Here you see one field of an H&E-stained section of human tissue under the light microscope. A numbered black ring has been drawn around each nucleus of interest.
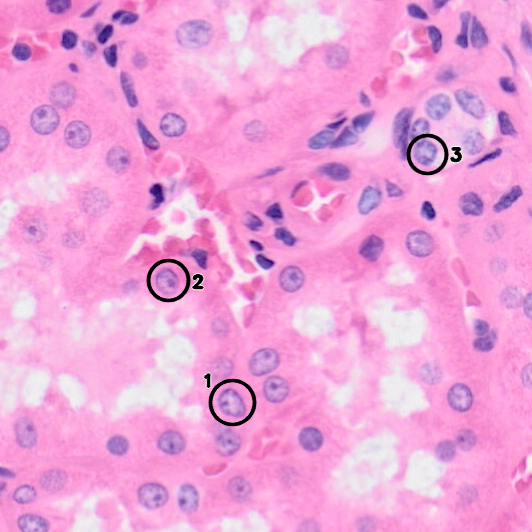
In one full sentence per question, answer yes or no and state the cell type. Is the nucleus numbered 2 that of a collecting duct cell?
No, number 2 is assigned to a proximal tubule cell, not to a collecting duct cell.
